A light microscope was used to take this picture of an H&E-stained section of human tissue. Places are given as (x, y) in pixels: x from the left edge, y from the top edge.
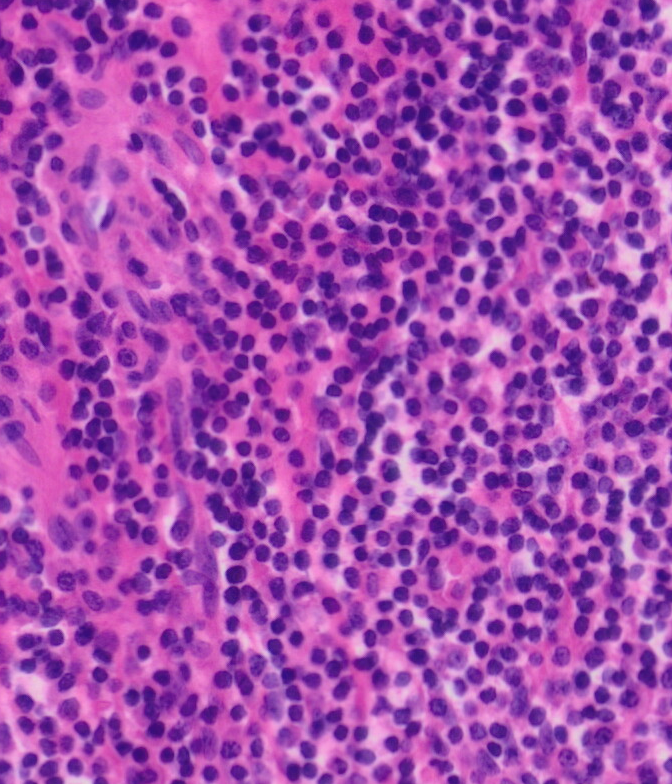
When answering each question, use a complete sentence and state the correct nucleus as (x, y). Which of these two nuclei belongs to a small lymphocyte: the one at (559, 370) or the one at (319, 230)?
Of the pair, the nucleus positioned at (559, 370) is that of a small lymphocyte.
